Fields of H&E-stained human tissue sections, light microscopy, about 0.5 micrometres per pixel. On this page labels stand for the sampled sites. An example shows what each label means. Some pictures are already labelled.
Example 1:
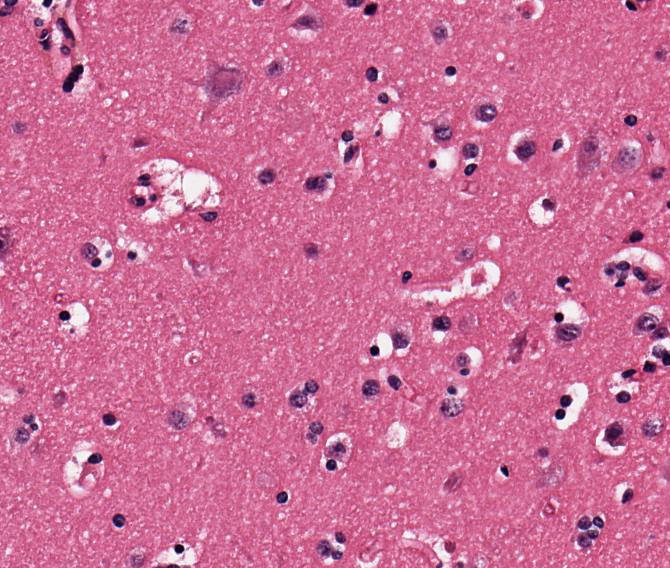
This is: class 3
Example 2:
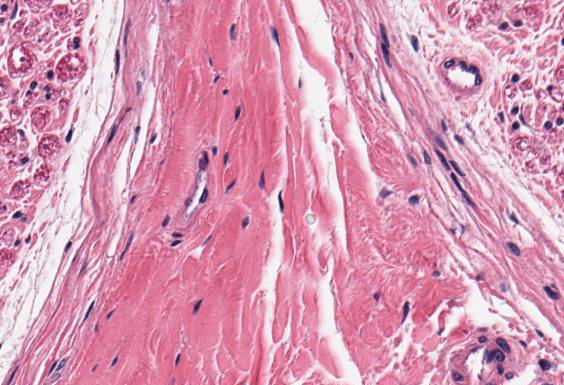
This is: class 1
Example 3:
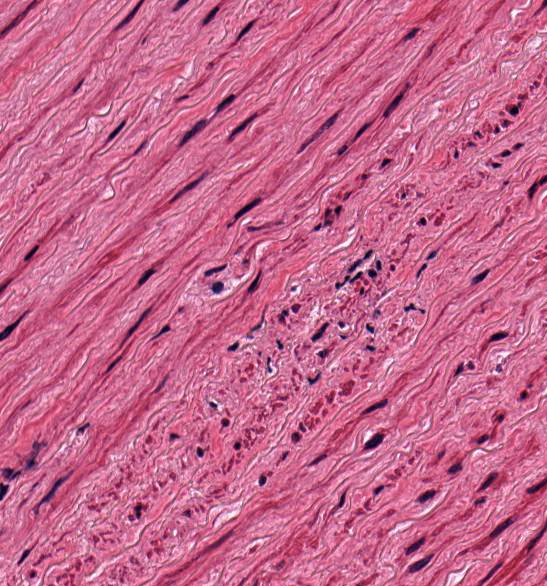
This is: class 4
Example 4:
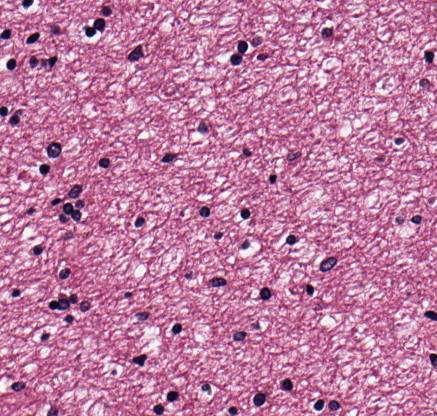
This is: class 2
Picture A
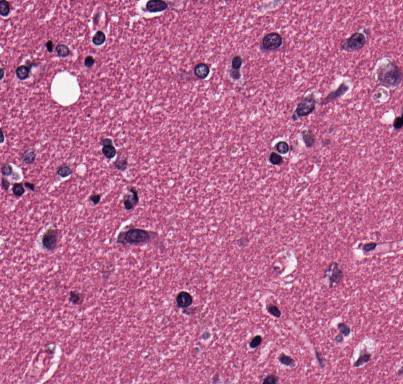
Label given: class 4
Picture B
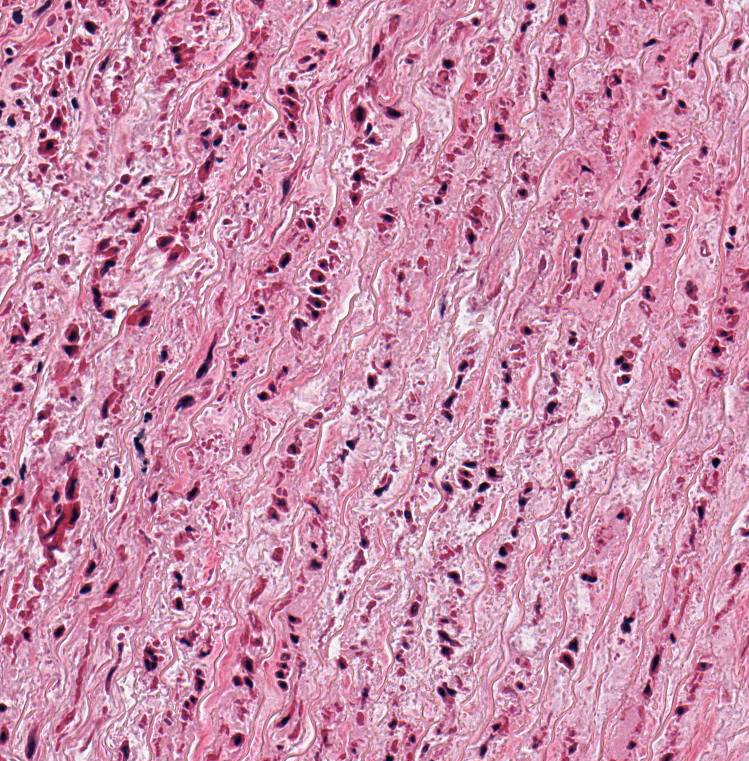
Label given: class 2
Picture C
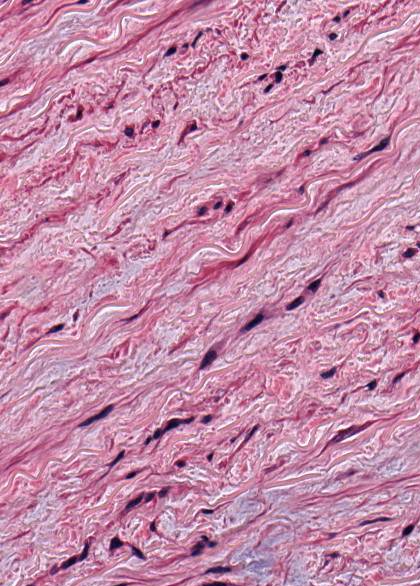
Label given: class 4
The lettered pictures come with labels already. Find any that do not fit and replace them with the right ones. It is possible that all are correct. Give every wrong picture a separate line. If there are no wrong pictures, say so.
A is labelled class 4; correct label: class 3
B is labelled class 2; correct label: class 4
